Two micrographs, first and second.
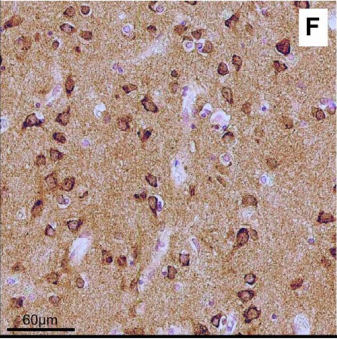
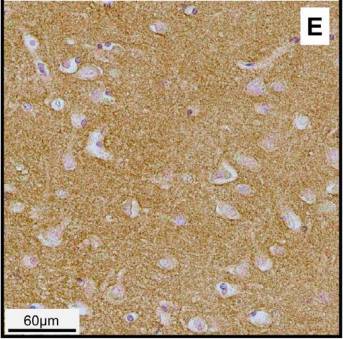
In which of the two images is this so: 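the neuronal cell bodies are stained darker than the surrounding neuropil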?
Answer: The first image.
